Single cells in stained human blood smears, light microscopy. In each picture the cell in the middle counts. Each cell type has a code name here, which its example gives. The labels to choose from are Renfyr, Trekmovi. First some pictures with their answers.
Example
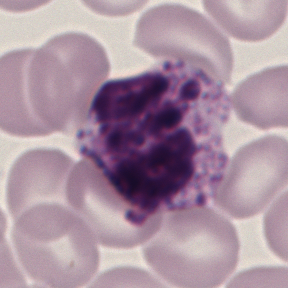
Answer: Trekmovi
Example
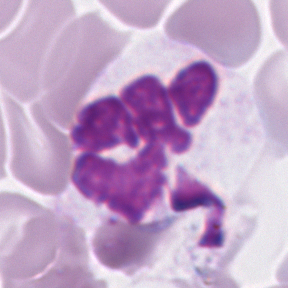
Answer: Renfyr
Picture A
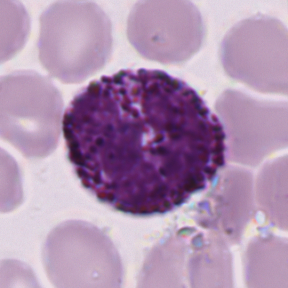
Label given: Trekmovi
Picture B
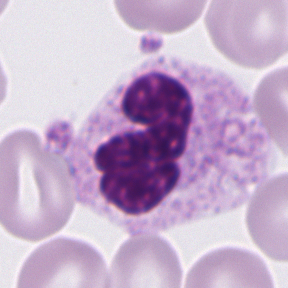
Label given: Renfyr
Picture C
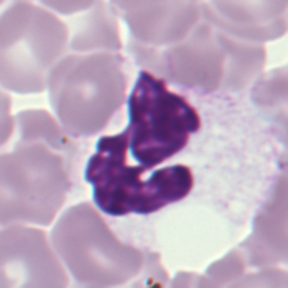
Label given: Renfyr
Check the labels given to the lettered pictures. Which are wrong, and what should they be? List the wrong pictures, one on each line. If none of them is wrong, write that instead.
Nothing to fix; every label fits.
